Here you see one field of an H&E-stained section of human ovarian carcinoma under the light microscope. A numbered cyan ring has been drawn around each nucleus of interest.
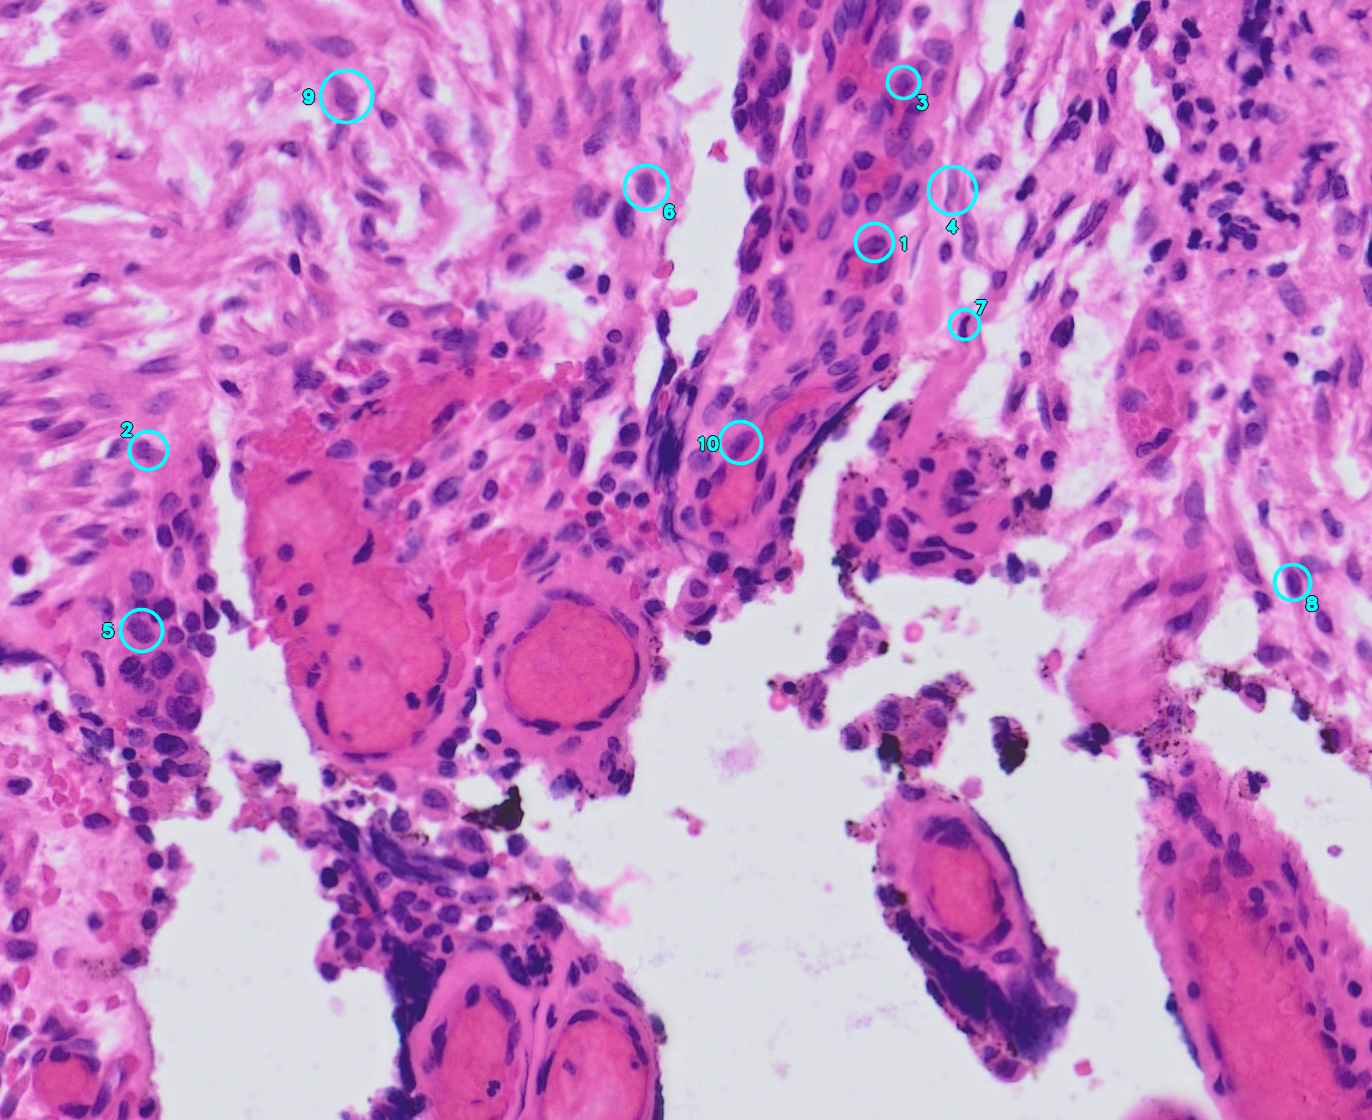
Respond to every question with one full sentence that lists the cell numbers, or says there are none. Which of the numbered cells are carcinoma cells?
The numbered cells include exactly one that is a carcinoma cell, which is cell 5.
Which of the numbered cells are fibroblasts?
The cells labelled 2, 4, 6, 7, 8 and 9 in this section are fibroblasts.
